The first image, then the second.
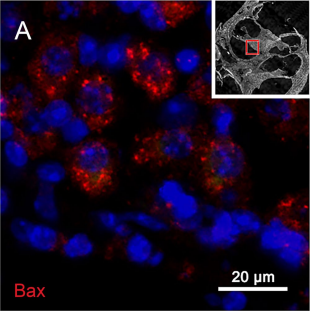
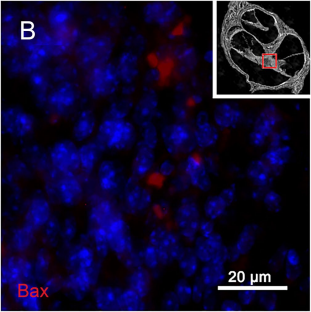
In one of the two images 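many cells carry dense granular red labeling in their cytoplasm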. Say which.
The first image.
